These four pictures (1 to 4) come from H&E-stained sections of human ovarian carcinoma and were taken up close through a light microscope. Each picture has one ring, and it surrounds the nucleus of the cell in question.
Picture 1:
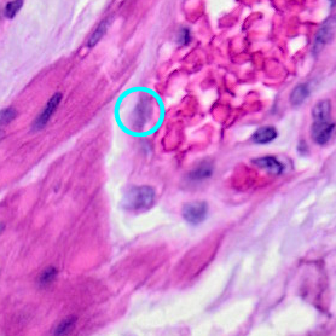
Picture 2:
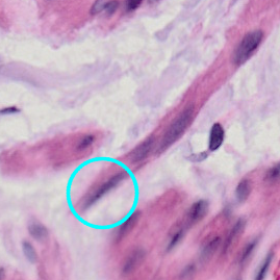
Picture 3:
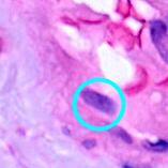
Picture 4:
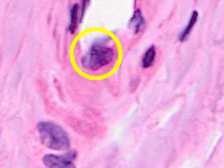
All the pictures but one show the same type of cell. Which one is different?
2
